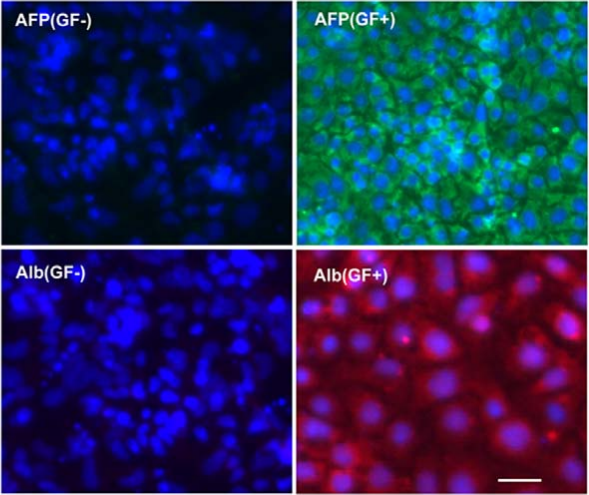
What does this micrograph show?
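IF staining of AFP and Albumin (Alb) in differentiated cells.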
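Four fluorescence fields show a dense monolayer of cultured cells whose round to oval nuclei are stained blue. In two of the fields only the blue nuclei are seen, crowded and irregularly clustered. In a third field green staining fills the cytoplasm and outlines closely packed polygonal cells, giving a cobblestone-like sheet.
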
